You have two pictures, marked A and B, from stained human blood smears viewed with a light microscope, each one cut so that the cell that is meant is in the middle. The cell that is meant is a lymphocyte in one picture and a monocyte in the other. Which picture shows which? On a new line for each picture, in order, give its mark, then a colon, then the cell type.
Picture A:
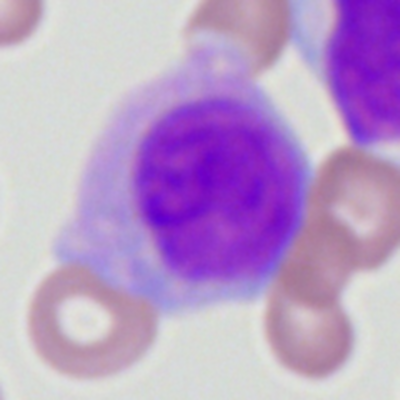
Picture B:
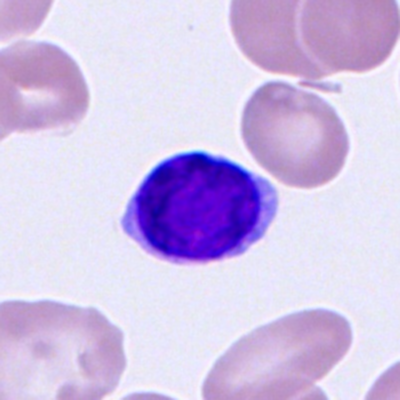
A: monocyte
B: lymphocyte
